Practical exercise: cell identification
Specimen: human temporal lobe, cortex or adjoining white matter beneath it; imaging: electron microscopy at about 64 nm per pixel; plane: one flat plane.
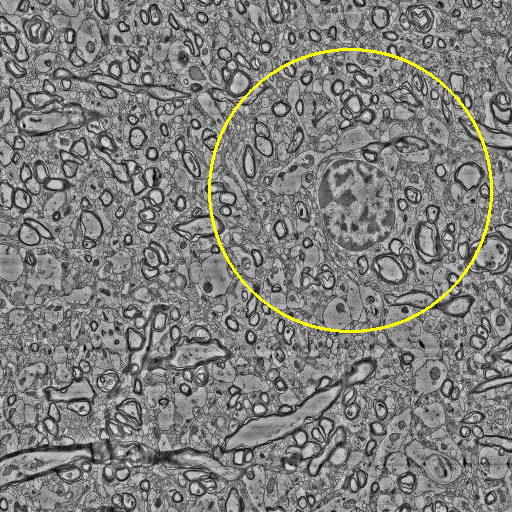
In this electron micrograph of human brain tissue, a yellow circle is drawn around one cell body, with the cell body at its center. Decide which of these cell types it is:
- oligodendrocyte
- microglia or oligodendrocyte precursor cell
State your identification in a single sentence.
The ringed cell is a microglial cell or oligodendrocyte precursor cell.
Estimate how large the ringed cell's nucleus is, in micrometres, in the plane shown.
The nucleus works out at approximately 6 by 5 micrometres in this plane.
